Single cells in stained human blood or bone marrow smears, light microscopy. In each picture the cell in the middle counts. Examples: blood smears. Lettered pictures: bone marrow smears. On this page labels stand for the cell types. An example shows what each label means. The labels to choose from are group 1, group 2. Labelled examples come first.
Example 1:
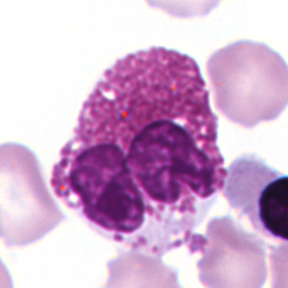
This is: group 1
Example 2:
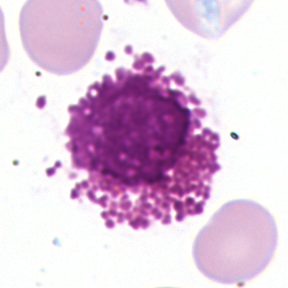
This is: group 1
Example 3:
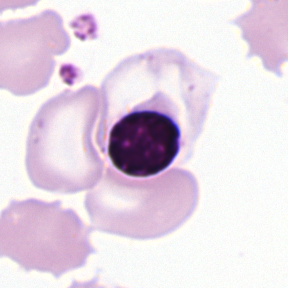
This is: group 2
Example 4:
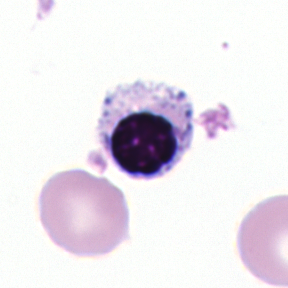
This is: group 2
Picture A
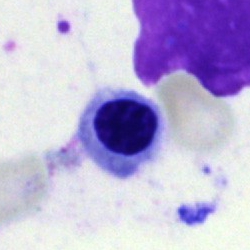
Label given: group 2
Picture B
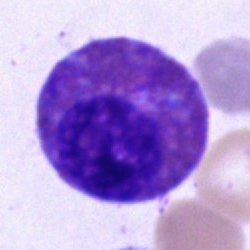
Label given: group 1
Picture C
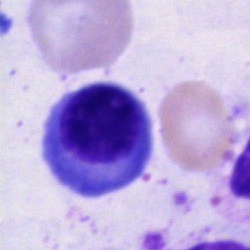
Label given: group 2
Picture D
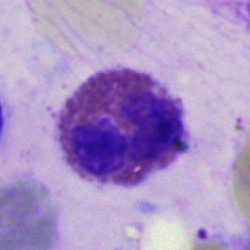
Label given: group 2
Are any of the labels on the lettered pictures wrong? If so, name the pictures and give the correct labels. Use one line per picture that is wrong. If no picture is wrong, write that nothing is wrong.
D: group 1, not group 2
